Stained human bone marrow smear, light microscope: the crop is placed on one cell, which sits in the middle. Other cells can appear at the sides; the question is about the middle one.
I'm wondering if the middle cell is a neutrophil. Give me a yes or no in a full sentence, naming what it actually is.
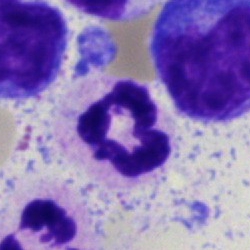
Yes, the crop is centred on a neutrophil.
